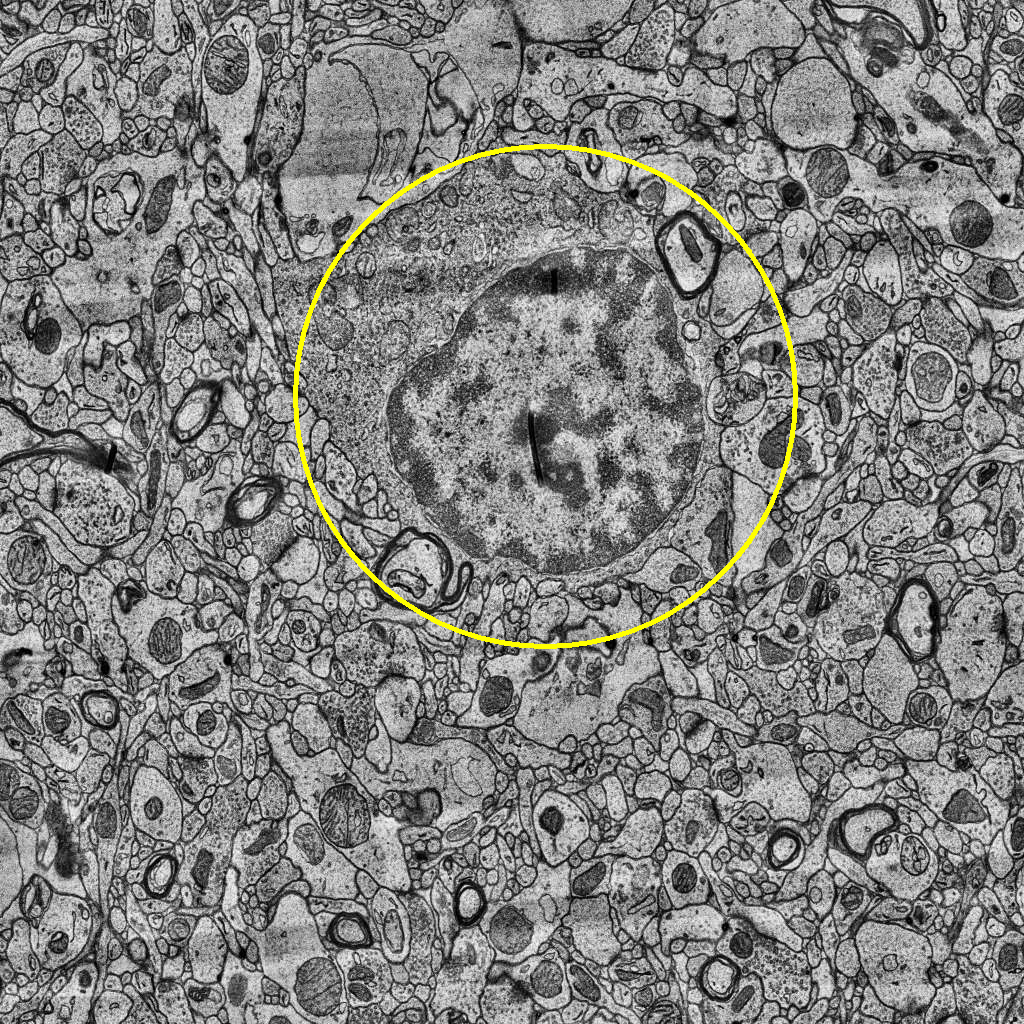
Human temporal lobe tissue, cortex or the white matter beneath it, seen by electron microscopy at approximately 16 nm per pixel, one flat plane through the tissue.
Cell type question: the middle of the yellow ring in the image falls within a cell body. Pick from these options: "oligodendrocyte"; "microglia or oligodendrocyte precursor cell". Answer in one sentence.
The cell body at the center of the ring belongs to an oligodendrocyte.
